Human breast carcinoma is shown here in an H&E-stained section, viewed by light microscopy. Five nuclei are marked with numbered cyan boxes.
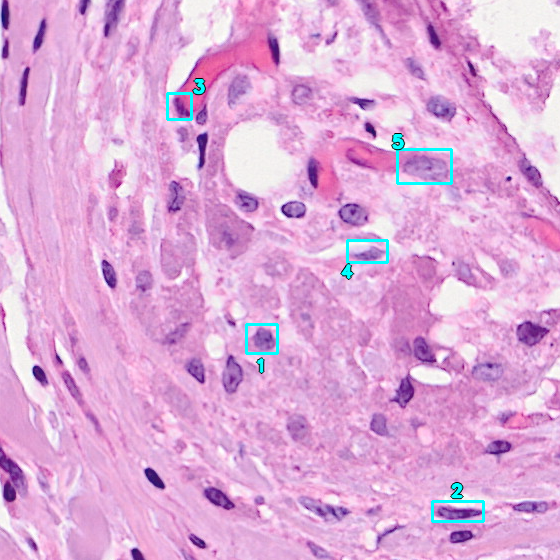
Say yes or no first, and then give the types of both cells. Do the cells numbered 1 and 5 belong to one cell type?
No, the cell tagged 1 is a macrophage, monocyte or dendritic cell, whereas the cell tagged 5 is an endothelial cell.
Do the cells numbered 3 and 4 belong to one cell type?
No, cell 3 here is an endothelial cell, and cell 4 here is a fibroblast.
